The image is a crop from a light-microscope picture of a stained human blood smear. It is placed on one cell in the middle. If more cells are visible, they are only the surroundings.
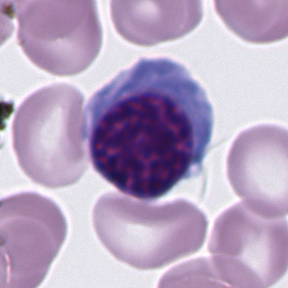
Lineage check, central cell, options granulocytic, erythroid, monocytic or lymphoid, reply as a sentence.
Classified by lineage, the middle cell is erythroid.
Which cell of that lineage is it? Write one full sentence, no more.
In the central position of this crop, the cell is a normoblast.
